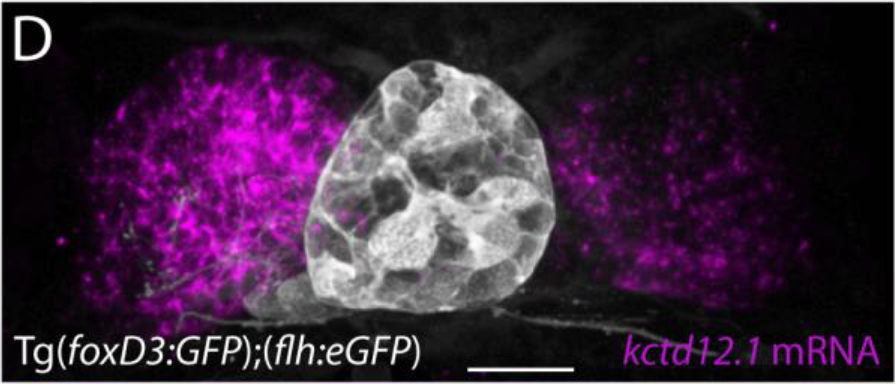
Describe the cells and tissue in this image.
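The pineal complex sits at the centre as a rounded organ made of polygonal cells with bright white outlines, flanked on both sides by habenular tissue dotted with magenta signal. The magenta dots are dense and clustered on the left side and sparse on the right, and a smaller white cell group with thin processes lies at the lower left of the pineal.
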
